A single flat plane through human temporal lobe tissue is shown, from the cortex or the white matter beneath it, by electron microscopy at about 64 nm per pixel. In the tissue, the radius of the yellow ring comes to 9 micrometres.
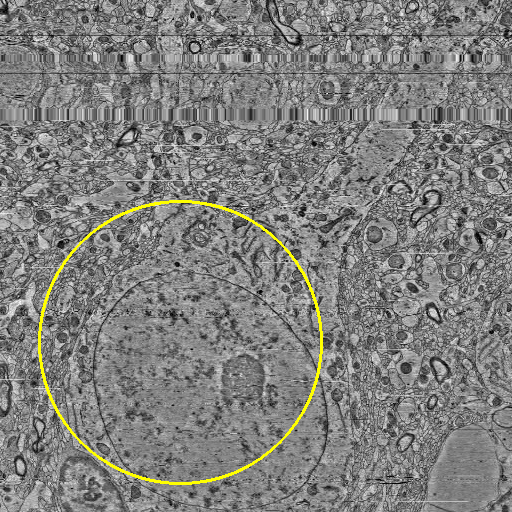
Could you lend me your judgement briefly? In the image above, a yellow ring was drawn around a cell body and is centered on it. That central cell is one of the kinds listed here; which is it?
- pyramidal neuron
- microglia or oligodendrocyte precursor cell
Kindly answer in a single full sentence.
Going by the list, a pyramidal neuron is the kind at the ring's center in the picture.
